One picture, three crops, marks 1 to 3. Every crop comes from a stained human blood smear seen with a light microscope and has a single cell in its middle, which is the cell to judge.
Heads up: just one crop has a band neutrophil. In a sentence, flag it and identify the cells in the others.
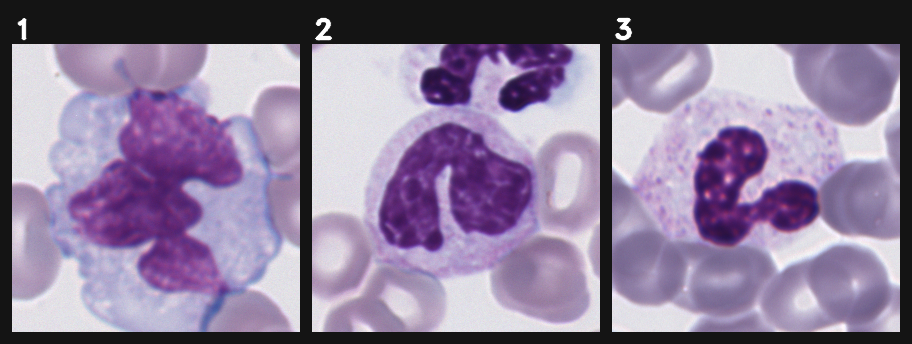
The cell of interest in crop 2 is a band neutrophil, and crop 1 is a monocyte and crop 3 is a segmented neutrophil.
